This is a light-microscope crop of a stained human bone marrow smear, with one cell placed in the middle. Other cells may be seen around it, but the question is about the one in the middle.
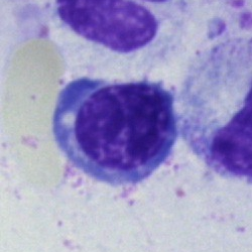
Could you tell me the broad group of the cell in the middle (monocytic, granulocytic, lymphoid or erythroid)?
erythroid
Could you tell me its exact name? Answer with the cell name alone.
erythroblast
